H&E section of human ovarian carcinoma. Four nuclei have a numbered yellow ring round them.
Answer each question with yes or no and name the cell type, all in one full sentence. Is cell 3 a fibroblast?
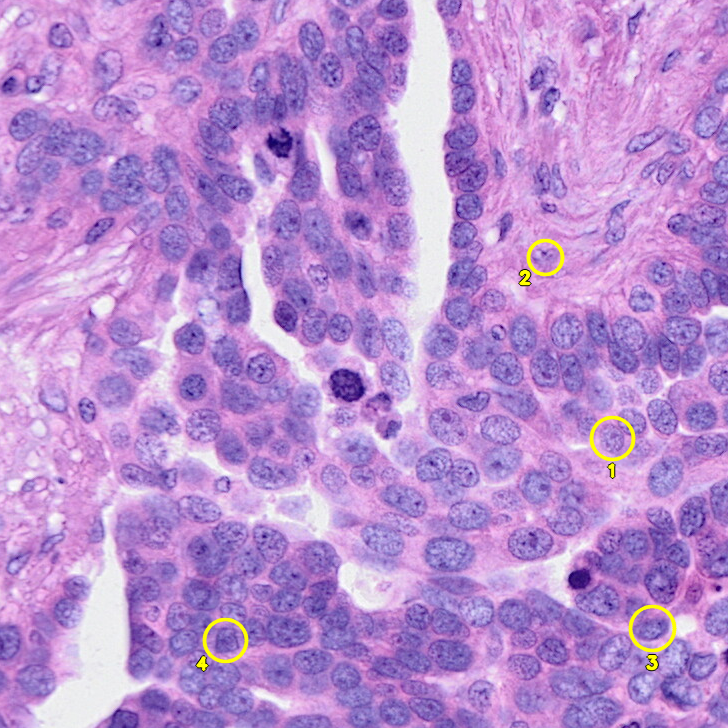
No, calling cell 3 a fibroblast is a mistake; it is a carcinoma cell.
